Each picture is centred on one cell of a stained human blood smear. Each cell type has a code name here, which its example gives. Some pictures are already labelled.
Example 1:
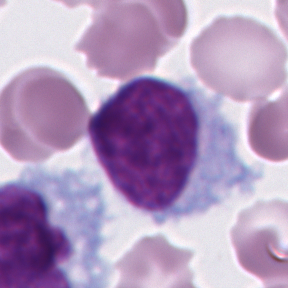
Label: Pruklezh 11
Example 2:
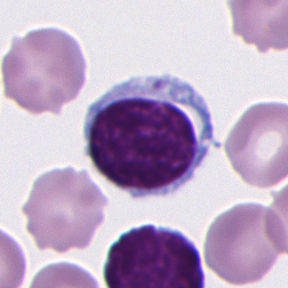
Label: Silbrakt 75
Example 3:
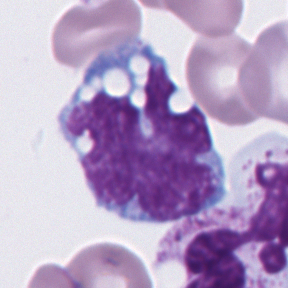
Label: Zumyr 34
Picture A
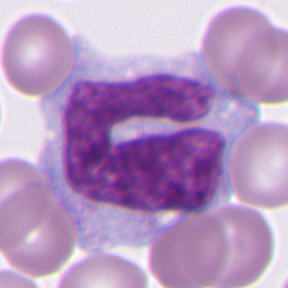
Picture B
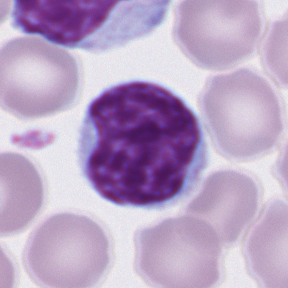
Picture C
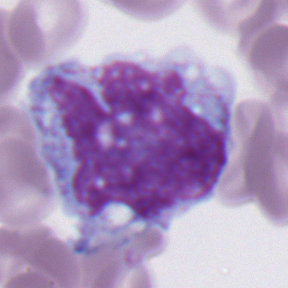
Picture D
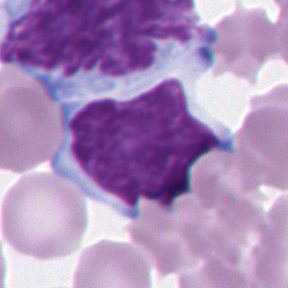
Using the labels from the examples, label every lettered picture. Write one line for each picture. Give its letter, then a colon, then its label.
A: Zumyr 34
B: Silbrakt 75
C: Zumyr 34
D: Silbrakt 75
